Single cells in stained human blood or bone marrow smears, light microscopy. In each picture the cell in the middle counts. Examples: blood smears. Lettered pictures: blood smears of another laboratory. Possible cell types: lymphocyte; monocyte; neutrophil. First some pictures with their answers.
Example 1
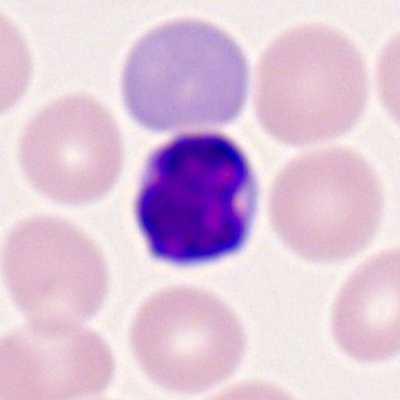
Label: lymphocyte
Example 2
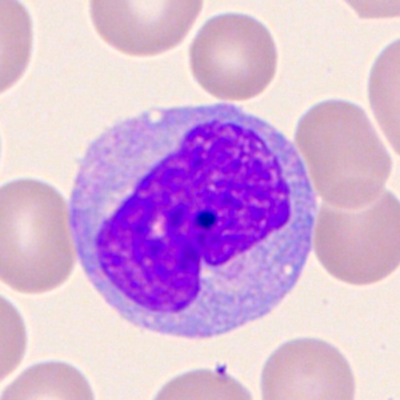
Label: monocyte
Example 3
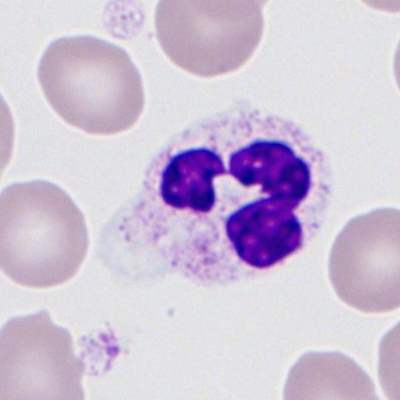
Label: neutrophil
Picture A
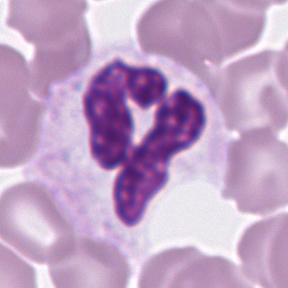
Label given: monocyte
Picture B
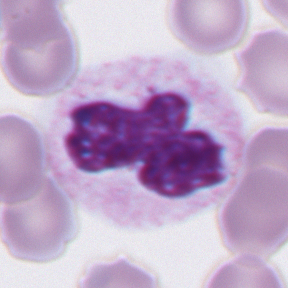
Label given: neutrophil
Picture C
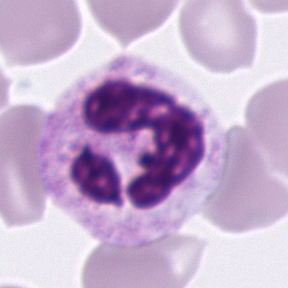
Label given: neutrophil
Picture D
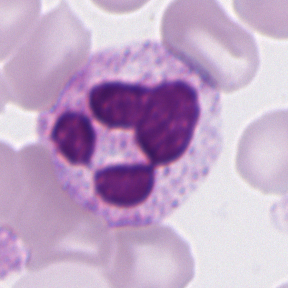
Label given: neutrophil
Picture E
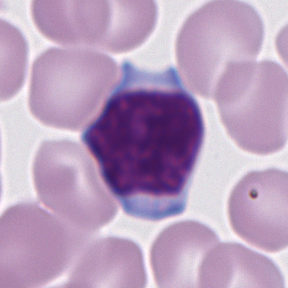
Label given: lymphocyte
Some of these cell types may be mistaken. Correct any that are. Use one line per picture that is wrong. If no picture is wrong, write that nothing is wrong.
Wrong: A (monocyte); correct: neutrophil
